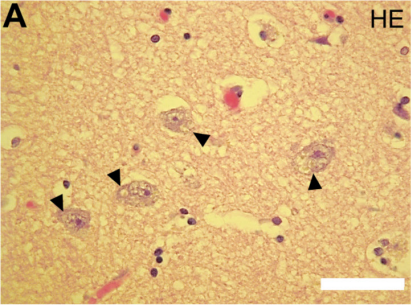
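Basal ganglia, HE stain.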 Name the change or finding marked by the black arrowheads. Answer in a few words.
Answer: intraneuronal vacuoles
